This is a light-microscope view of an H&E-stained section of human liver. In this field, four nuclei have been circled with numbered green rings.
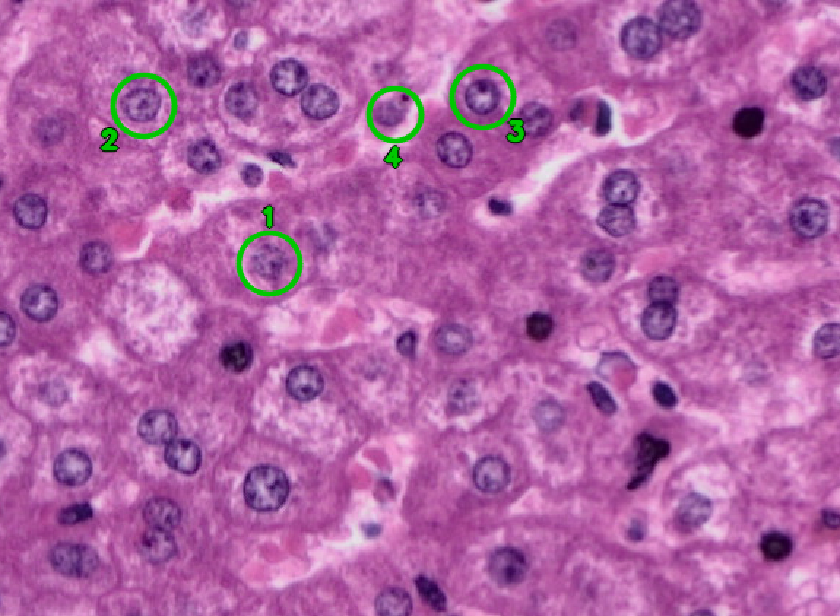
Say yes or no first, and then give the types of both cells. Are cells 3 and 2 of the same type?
Yes, cells 3 and 2 both belong to the category of hepatocytes.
